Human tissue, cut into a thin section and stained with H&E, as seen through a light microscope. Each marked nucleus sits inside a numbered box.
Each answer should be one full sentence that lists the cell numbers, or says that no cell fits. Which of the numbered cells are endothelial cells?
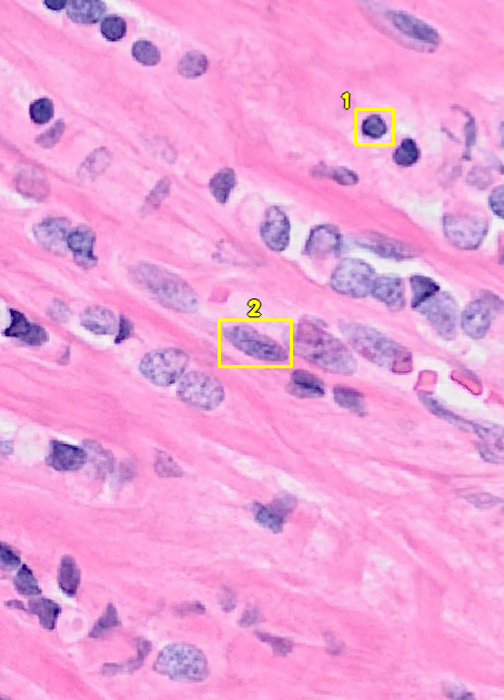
Among the numbered cells, cell 2 alone is an endothelial cell.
